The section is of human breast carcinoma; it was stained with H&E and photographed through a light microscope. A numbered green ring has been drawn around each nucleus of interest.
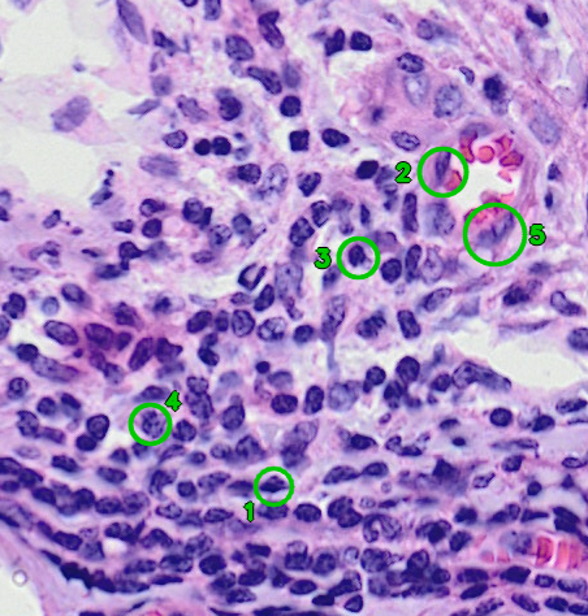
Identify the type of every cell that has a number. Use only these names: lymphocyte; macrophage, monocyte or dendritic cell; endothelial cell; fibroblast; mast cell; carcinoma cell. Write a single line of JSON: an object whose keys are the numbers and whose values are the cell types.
{"1": "lymphocyte", "2": "endothelial cell", "3": "lymphocyte", "4": "lymphocyte", "5": "endothelial cell"}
